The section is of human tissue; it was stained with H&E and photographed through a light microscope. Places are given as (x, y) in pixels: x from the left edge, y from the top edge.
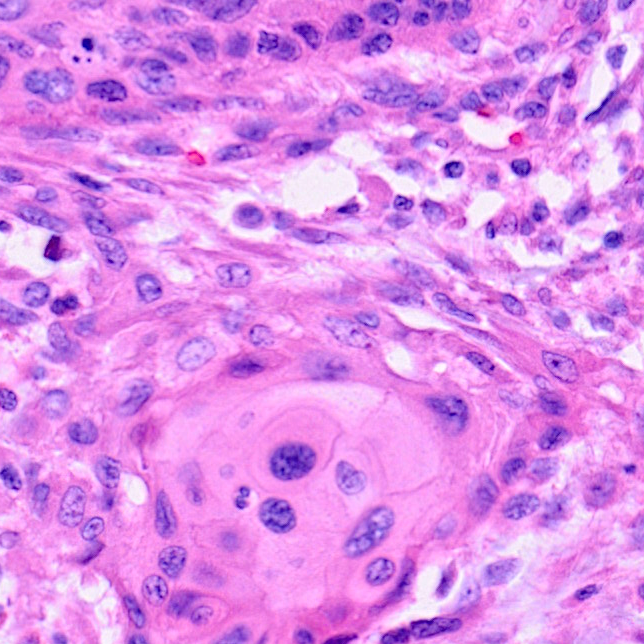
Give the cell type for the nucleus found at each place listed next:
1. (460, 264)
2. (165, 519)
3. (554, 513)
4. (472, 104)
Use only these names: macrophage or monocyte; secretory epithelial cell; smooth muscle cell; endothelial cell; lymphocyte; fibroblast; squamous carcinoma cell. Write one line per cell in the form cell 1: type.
cell 1: fibroblast
cell 2: squamous carcinoma cell
cell 3: fibroblast
cell 4: endothelial cell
